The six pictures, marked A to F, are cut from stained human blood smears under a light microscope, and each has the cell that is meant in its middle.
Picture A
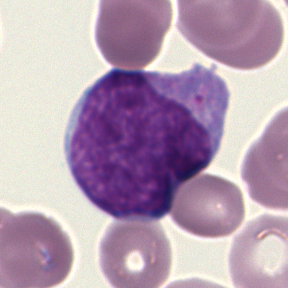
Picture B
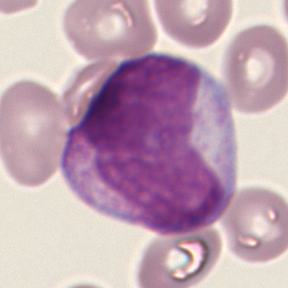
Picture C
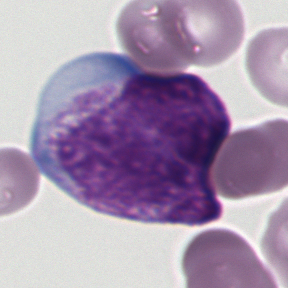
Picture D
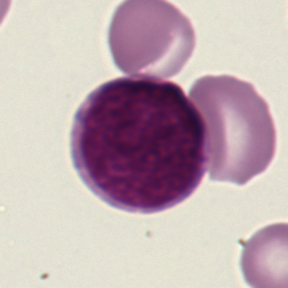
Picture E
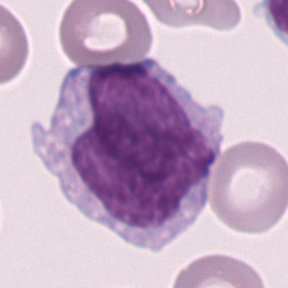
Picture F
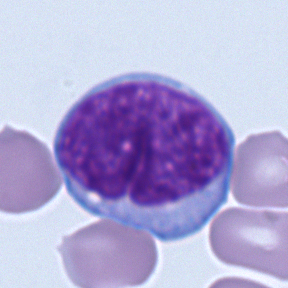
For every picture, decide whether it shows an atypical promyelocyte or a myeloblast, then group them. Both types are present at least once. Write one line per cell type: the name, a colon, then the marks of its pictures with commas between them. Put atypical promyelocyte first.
atypical promyelocyte: A, B, C, E
myeloblast: D, F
